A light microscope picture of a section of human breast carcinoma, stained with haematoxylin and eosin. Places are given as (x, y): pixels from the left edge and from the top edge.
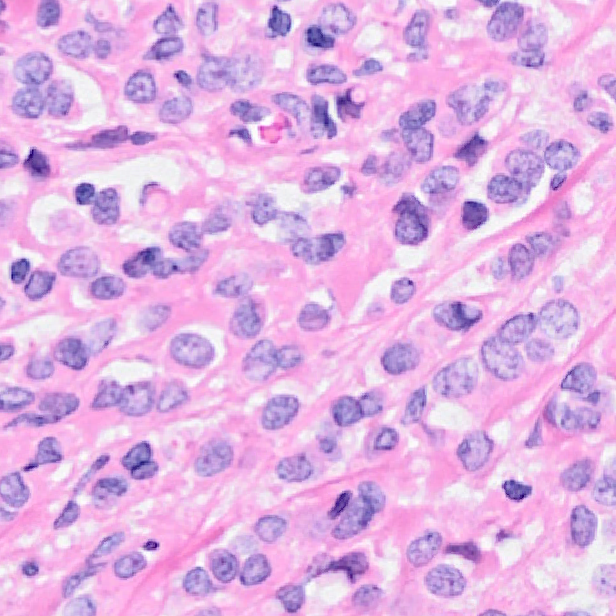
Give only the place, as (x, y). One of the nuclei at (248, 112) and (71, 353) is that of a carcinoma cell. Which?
(71, 353)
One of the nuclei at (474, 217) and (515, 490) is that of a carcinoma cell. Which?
(474, 217)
